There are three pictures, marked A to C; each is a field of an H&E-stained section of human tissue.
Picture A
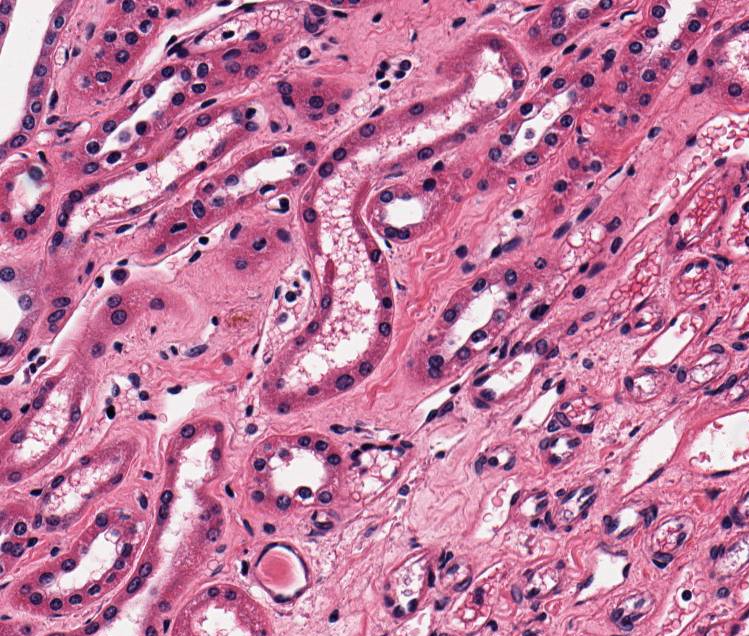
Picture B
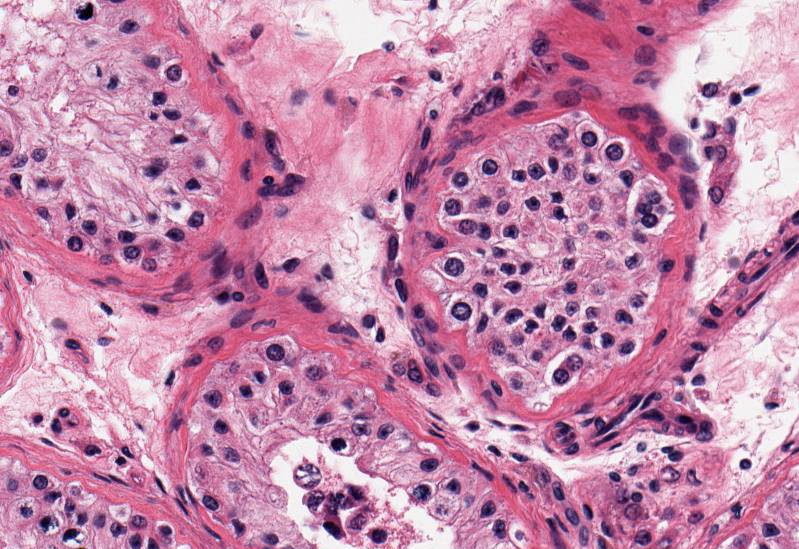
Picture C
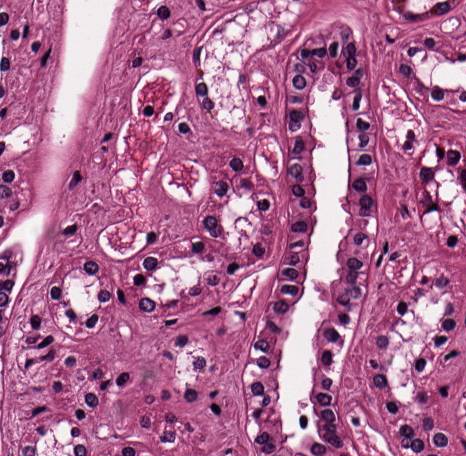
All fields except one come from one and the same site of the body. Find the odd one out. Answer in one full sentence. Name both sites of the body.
Picture B is the odd one out: it comes from the testis, while the others come from the renal medulla.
